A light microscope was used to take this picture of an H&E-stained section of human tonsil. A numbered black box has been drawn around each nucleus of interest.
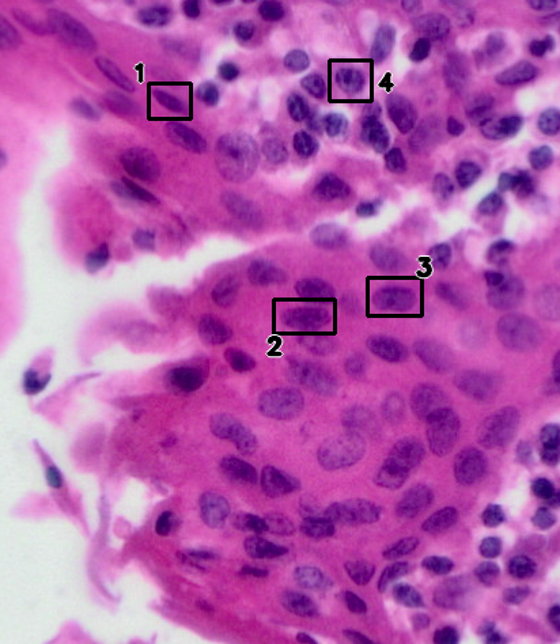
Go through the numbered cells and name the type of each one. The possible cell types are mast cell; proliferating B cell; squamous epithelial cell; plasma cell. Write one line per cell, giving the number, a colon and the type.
1: squamous epithelial cell
2: squamous epithelial cell
3: squamous epithelial cell
4: plasma cell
